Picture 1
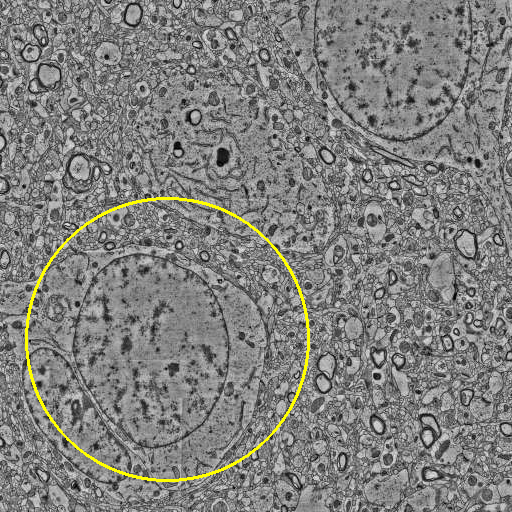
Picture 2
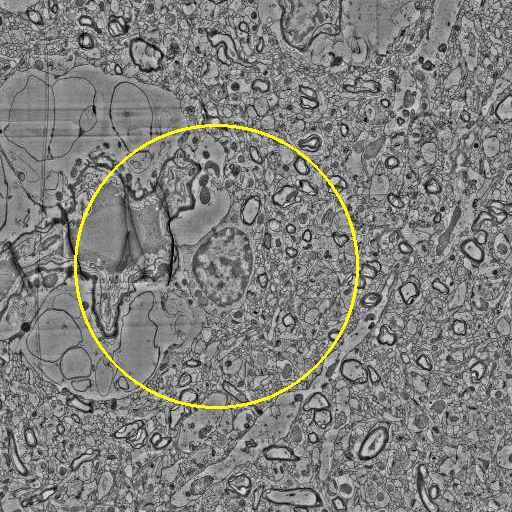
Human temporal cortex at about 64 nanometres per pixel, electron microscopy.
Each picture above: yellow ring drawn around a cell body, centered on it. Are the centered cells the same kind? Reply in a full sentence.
No, the two cells are two kinds of cell.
